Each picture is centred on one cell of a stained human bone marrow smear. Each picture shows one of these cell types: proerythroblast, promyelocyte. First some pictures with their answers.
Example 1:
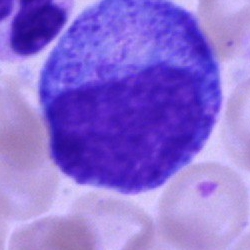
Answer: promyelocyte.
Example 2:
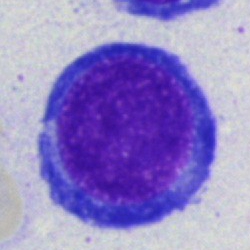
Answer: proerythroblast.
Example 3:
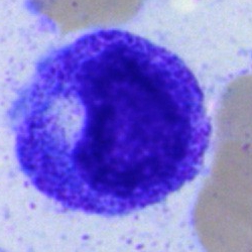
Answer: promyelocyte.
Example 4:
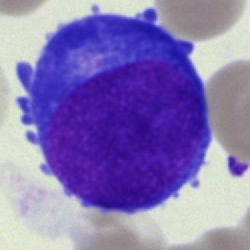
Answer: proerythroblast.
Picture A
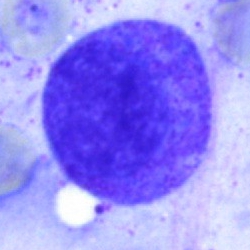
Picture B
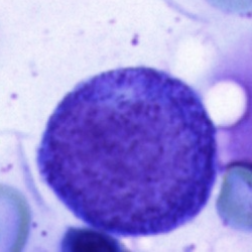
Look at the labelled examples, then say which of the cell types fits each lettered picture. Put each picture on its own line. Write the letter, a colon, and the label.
A: promyelocyte.
B: promyelocyte.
